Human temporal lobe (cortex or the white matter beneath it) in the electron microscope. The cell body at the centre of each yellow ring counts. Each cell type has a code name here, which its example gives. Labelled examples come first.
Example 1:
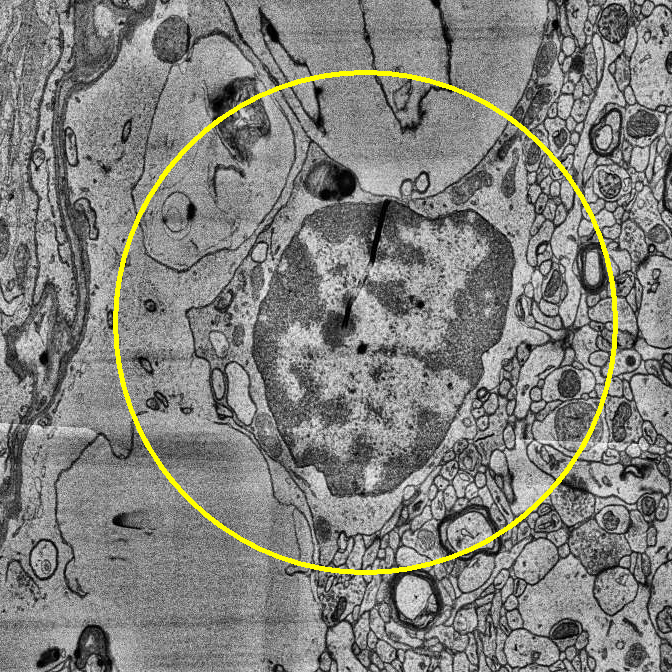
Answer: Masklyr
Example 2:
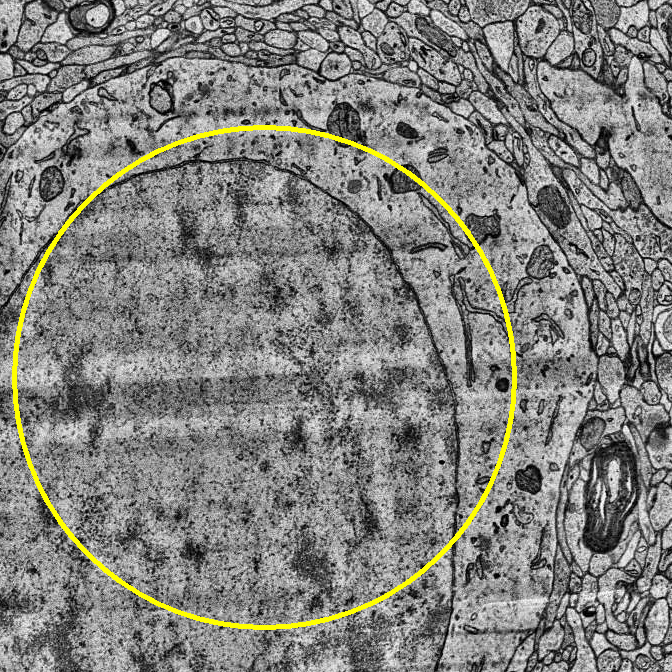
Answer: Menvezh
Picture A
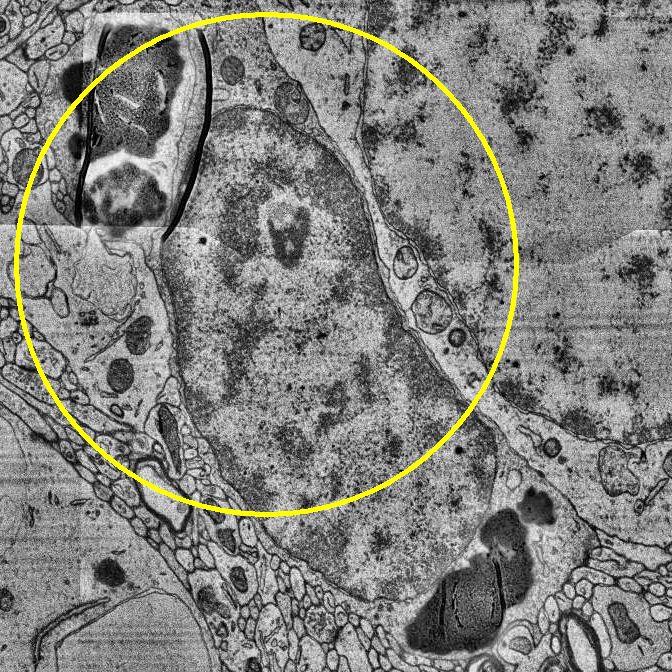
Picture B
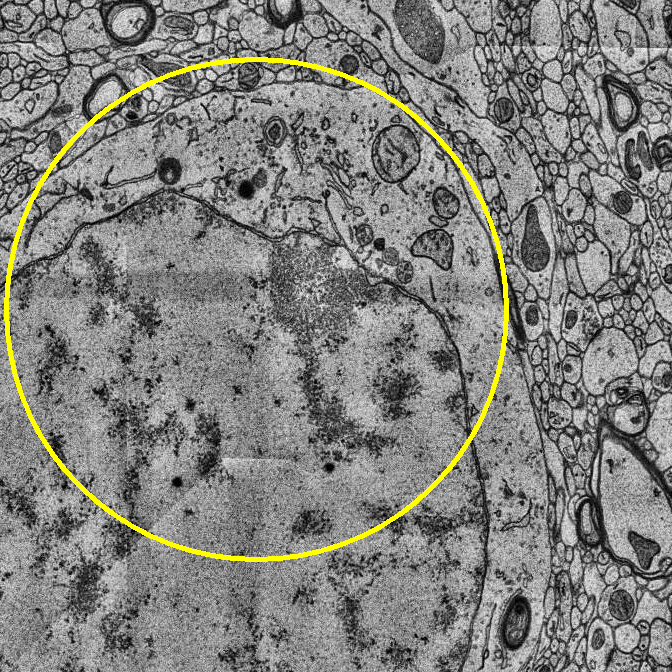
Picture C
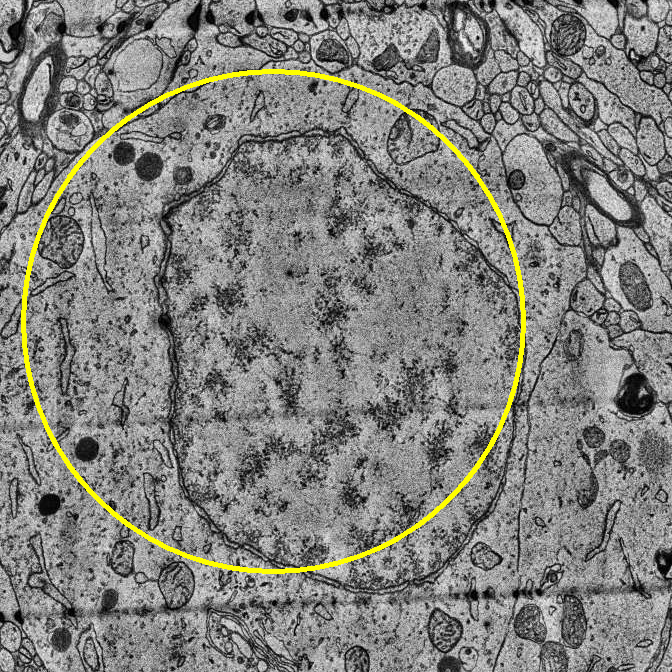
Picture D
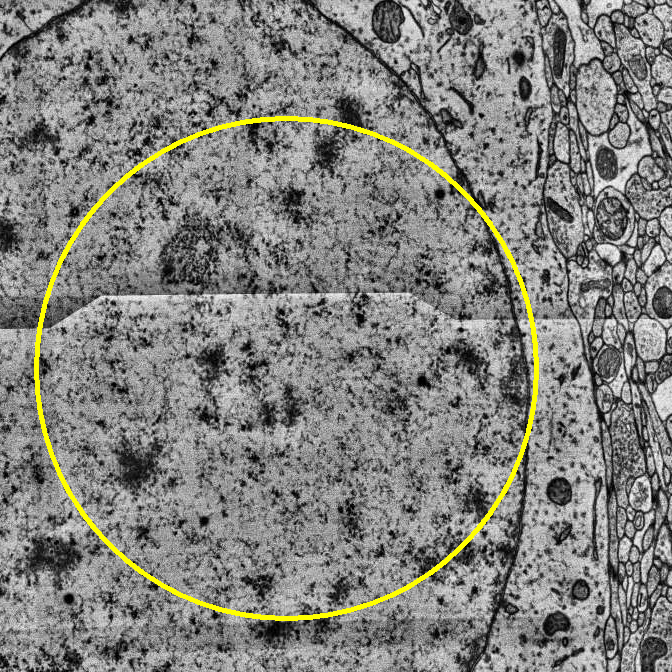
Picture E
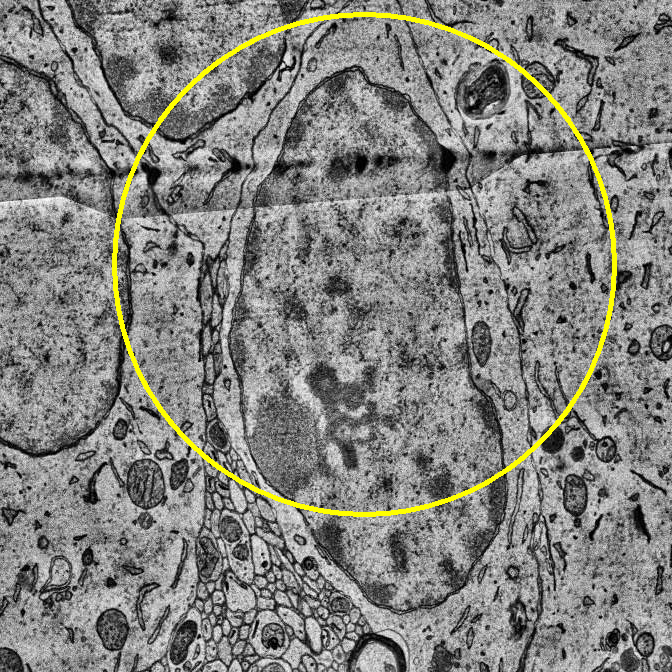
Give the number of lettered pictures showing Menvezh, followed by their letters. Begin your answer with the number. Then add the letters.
3: B, C, D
